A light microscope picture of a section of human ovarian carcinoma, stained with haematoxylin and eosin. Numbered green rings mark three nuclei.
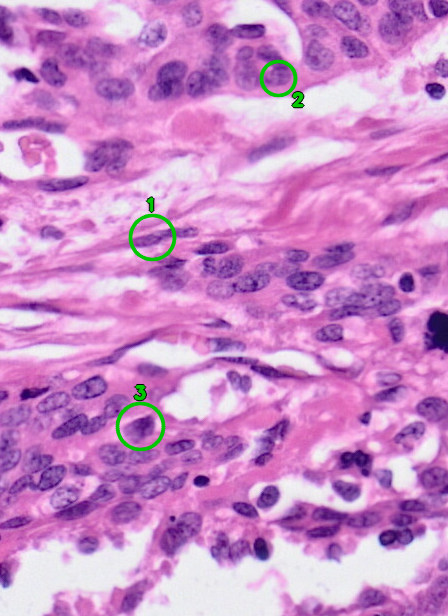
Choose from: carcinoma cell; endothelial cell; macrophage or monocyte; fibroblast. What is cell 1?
fibroblast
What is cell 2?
carcinoma cell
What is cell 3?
carcinoma cell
